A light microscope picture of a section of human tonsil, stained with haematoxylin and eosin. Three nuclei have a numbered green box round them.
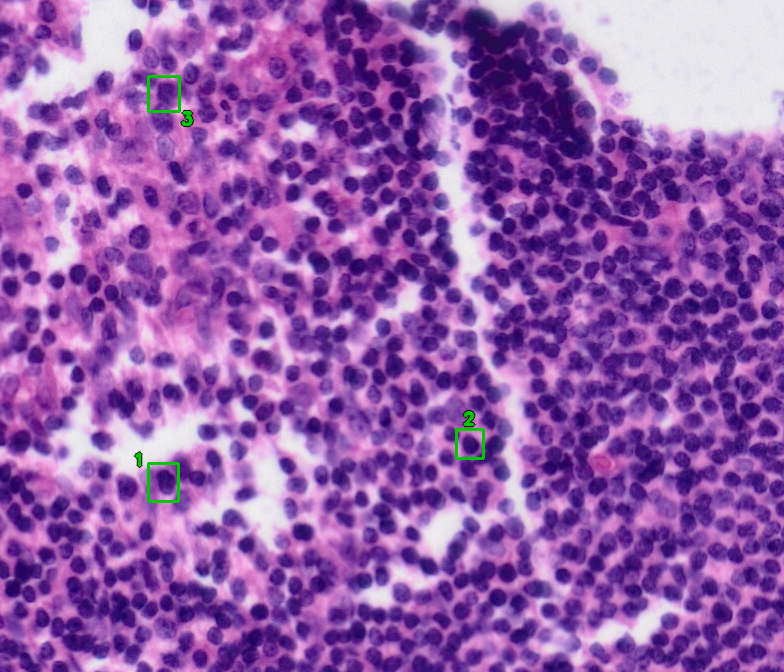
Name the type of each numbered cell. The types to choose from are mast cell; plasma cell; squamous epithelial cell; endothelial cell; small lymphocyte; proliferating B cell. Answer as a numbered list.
1. proliferating B cell
2. small lymphocyte
3. proliferating B cell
